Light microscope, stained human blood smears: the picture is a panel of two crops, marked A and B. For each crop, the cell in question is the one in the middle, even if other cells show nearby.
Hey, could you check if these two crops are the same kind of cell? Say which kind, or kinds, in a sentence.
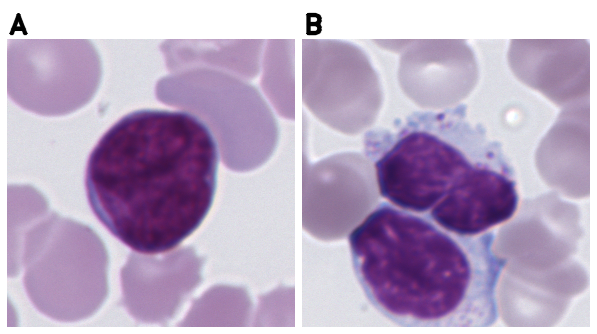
No, crop A displays a myeloblast and crop B displays a large granular lymphocyte.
